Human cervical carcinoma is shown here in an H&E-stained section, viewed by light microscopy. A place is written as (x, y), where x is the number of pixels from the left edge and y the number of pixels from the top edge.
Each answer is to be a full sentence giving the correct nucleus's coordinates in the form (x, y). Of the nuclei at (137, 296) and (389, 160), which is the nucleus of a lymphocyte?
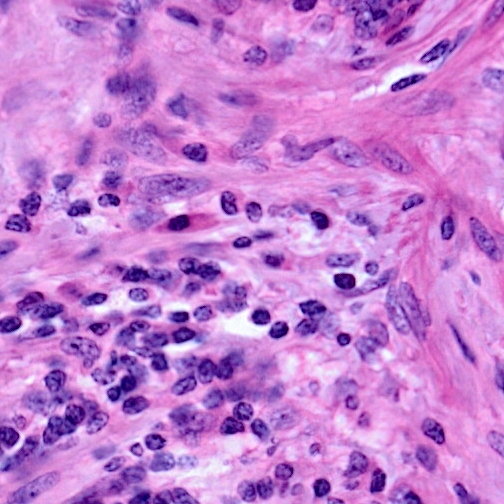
Rather than the other nucleus, the one at (137, 296) belongs to a lymphocyte.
